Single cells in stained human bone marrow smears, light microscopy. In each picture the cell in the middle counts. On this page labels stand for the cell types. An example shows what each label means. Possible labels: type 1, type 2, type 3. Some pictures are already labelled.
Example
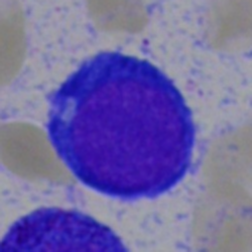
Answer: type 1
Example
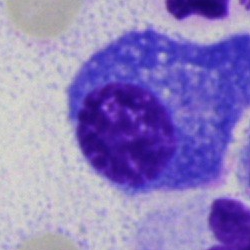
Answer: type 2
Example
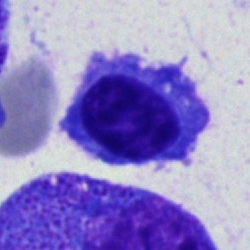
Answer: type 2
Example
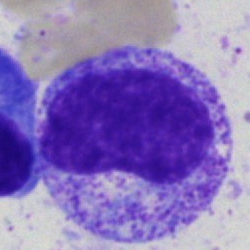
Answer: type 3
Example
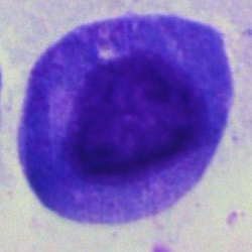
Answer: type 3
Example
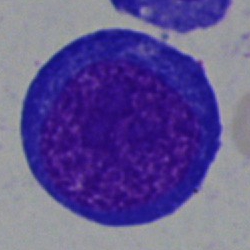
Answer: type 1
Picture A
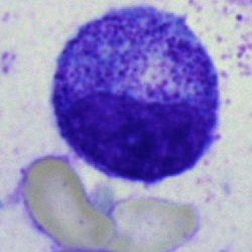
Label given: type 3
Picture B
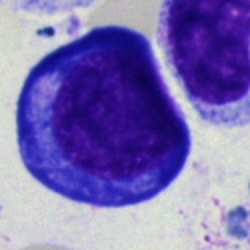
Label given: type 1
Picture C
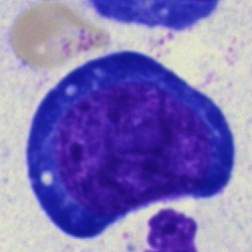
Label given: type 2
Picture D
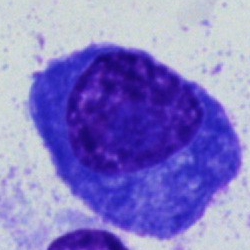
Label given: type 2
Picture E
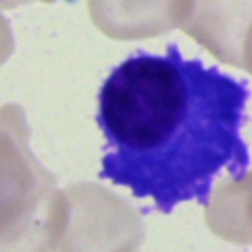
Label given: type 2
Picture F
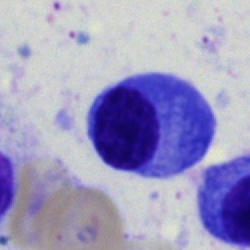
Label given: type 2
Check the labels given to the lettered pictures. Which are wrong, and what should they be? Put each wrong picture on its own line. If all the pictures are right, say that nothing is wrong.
C should be type 1, not type 2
